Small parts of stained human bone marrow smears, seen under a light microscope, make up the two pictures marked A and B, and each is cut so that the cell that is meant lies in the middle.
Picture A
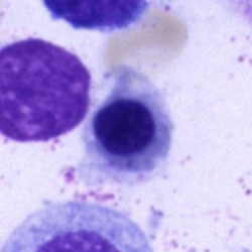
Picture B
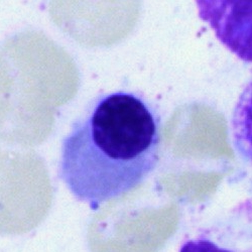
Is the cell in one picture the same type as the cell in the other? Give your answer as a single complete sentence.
Yes, the two pictures both show erythroblasts.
